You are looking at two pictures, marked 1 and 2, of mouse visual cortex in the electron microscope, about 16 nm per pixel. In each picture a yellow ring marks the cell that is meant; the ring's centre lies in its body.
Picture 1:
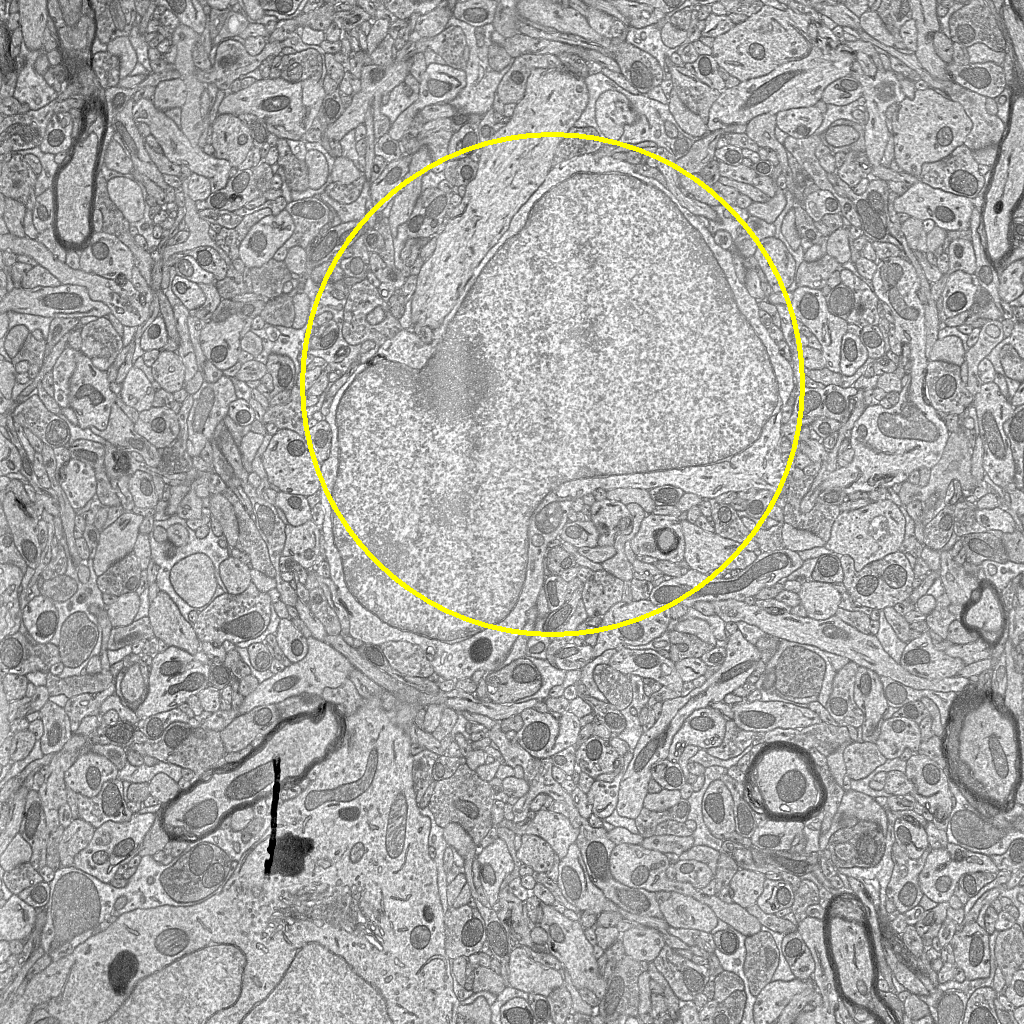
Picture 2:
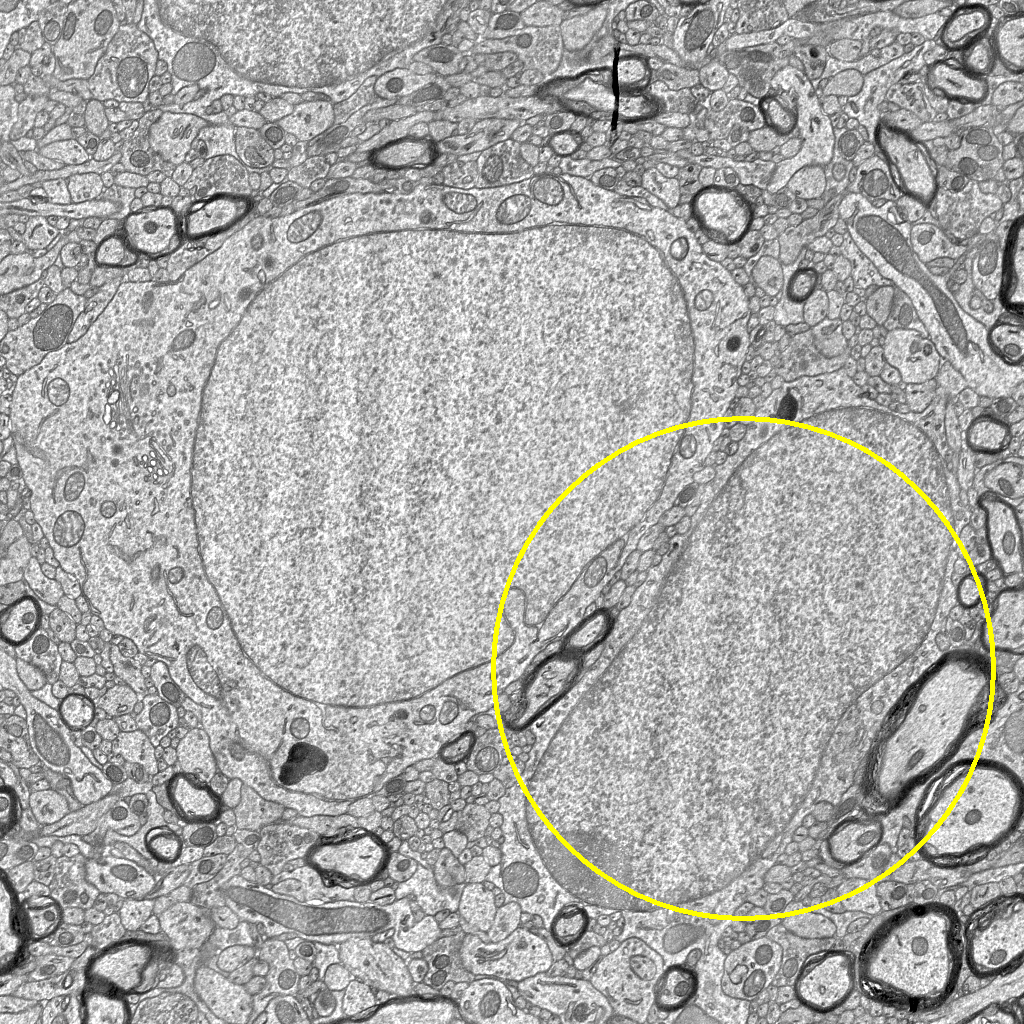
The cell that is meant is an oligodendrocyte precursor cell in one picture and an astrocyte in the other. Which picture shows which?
Picture 1 shows an oligodendrocyte precursor cell and picture 2 shows an astrocyte.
